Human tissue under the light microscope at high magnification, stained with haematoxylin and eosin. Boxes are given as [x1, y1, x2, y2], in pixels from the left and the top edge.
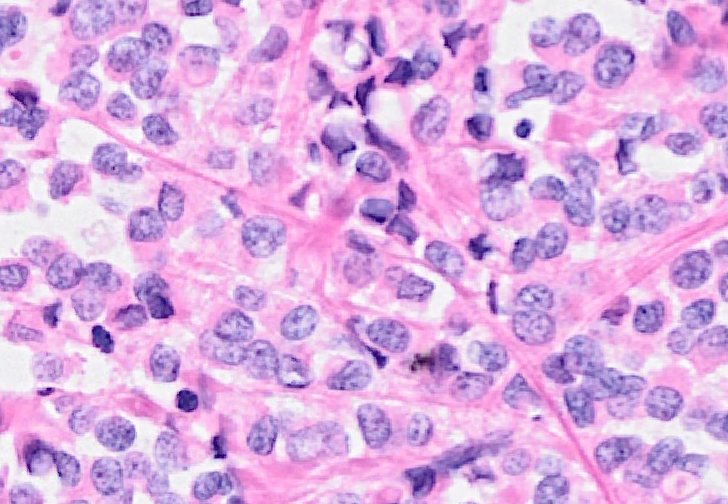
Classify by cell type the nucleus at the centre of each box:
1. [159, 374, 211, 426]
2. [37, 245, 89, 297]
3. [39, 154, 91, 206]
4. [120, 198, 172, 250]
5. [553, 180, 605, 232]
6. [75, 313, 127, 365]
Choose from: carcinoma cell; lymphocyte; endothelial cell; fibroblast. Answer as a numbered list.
1. lymphocyte
2. carcinoma cell
3. carcinoma cell
4. carcinoma cell
5. carcinoma cell
6. lymphocyte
